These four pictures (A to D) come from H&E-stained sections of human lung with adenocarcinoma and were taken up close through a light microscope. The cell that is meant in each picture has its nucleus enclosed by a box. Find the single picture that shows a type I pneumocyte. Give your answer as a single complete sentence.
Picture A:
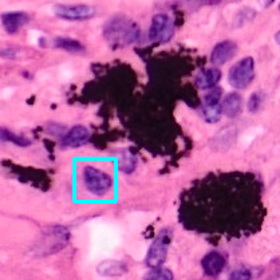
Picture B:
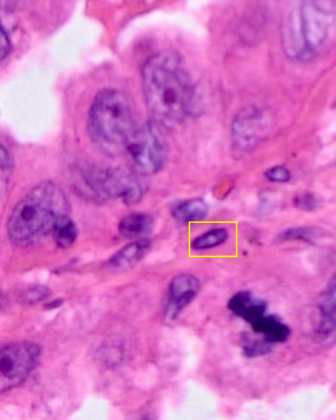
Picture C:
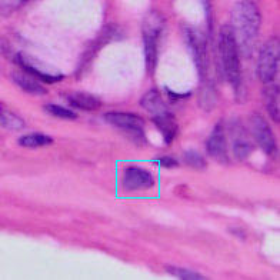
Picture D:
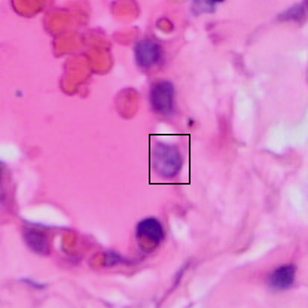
The picture with the type I pneumocyte is D.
